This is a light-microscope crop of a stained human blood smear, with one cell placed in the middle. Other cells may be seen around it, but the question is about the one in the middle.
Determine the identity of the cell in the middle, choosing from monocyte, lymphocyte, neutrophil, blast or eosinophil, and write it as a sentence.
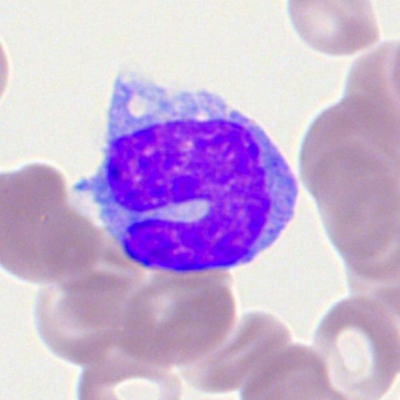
Framed in the middle of the crop is a monocyte.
